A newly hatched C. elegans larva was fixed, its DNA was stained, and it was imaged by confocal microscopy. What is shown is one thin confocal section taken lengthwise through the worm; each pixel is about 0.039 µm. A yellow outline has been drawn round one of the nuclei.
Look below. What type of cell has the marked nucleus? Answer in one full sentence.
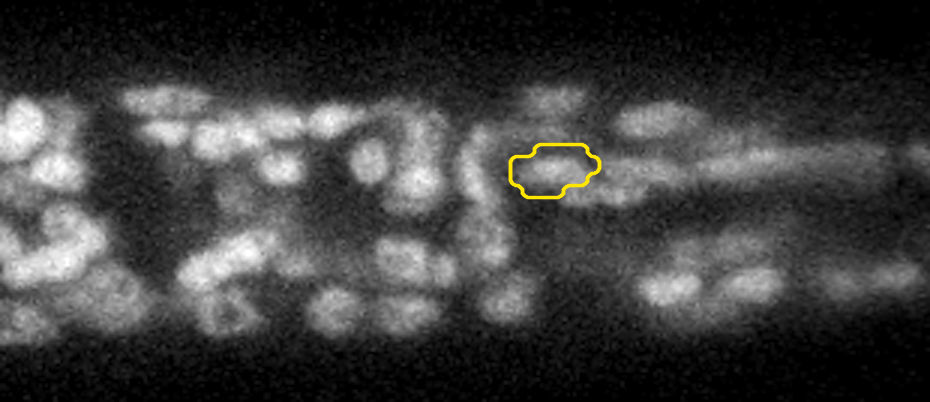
The cell with the marked nucleus is a neuron.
